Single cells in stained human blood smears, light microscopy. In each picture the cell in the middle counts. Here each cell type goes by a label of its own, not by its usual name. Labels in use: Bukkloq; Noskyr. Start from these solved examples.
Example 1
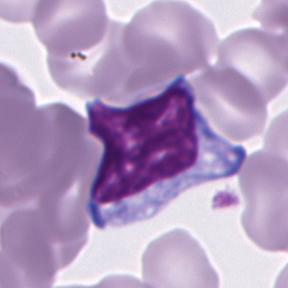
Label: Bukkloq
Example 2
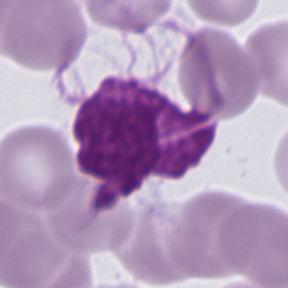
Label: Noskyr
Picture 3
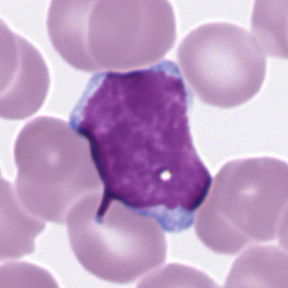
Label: Bukkloq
